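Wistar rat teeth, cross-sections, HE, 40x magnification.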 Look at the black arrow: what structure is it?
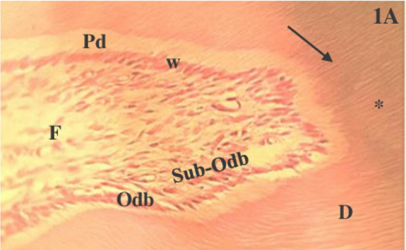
Dentin tubules.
